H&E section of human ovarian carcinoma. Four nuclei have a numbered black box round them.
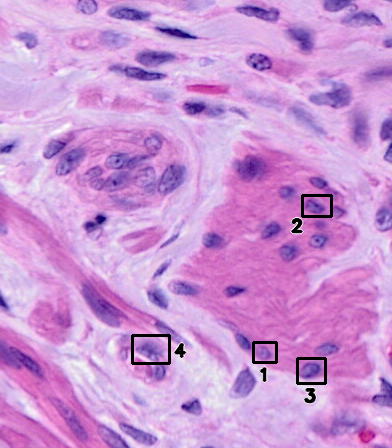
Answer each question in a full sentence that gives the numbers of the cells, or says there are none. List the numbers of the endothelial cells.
Only cell 4 qualifies as an endothelial cell among the numbered cells.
